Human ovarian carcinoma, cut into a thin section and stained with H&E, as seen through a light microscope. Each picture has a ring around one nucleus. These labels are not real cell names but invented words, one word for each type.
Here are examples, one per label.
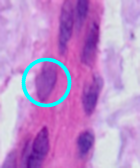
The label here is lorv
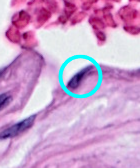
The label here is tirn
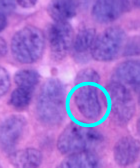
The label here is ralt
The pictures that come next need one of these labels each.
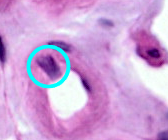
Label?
tirn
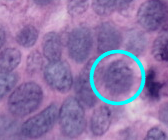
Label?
ralt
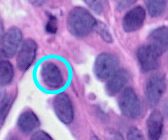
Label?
ralt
